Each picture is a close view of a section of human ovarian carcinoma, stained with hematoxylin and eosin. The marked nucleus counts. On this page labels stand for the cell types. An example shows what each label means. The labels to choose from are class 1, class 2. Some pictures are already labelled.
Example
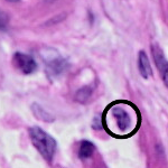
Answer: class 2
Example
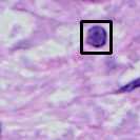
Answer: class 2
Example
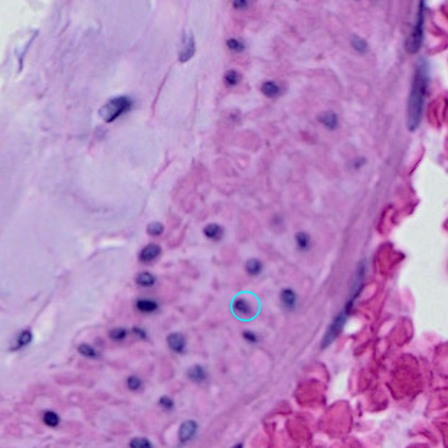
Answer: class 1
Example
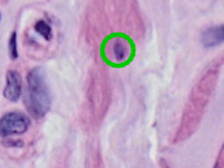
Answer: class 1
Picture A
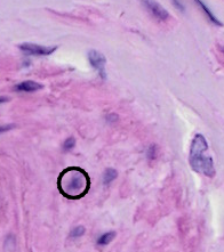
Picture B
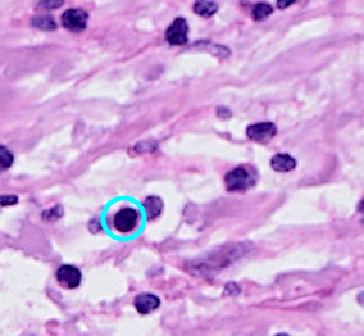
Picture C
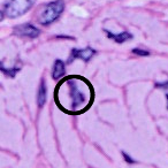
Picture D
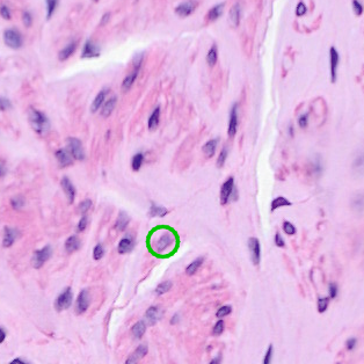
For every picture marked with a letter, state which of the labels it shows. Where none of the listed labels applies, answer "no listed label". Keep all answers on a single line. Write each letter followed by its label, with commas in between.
A class 1, B class 2, C no listed label, D class 1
